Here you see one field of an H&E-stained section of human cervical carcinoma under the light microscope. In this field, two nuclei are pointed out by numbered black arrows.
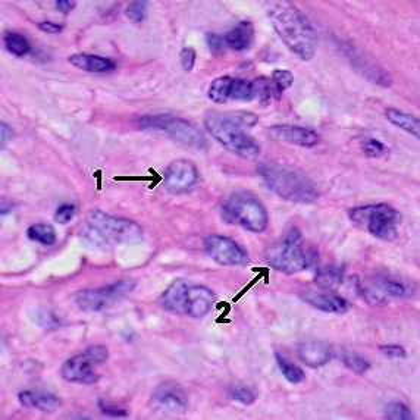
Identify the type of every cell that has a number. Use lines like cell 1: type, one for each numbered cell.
cell 1: smooth muscle cell
cell 2: endothelial cell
